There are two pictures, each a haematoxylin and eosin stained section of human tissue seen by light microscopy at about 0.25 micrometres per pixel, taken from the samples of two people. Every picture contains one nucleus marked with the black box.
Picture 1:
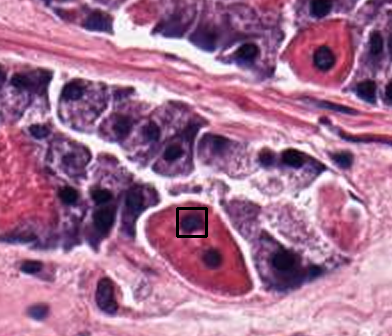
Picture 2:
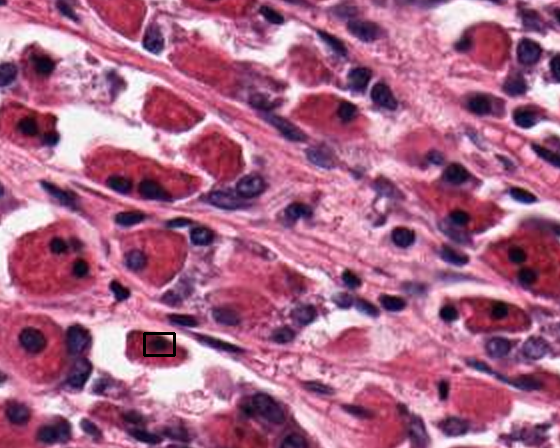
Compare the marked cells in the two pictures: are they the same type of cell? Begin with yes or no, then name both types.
Yes, both are parietal cells.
